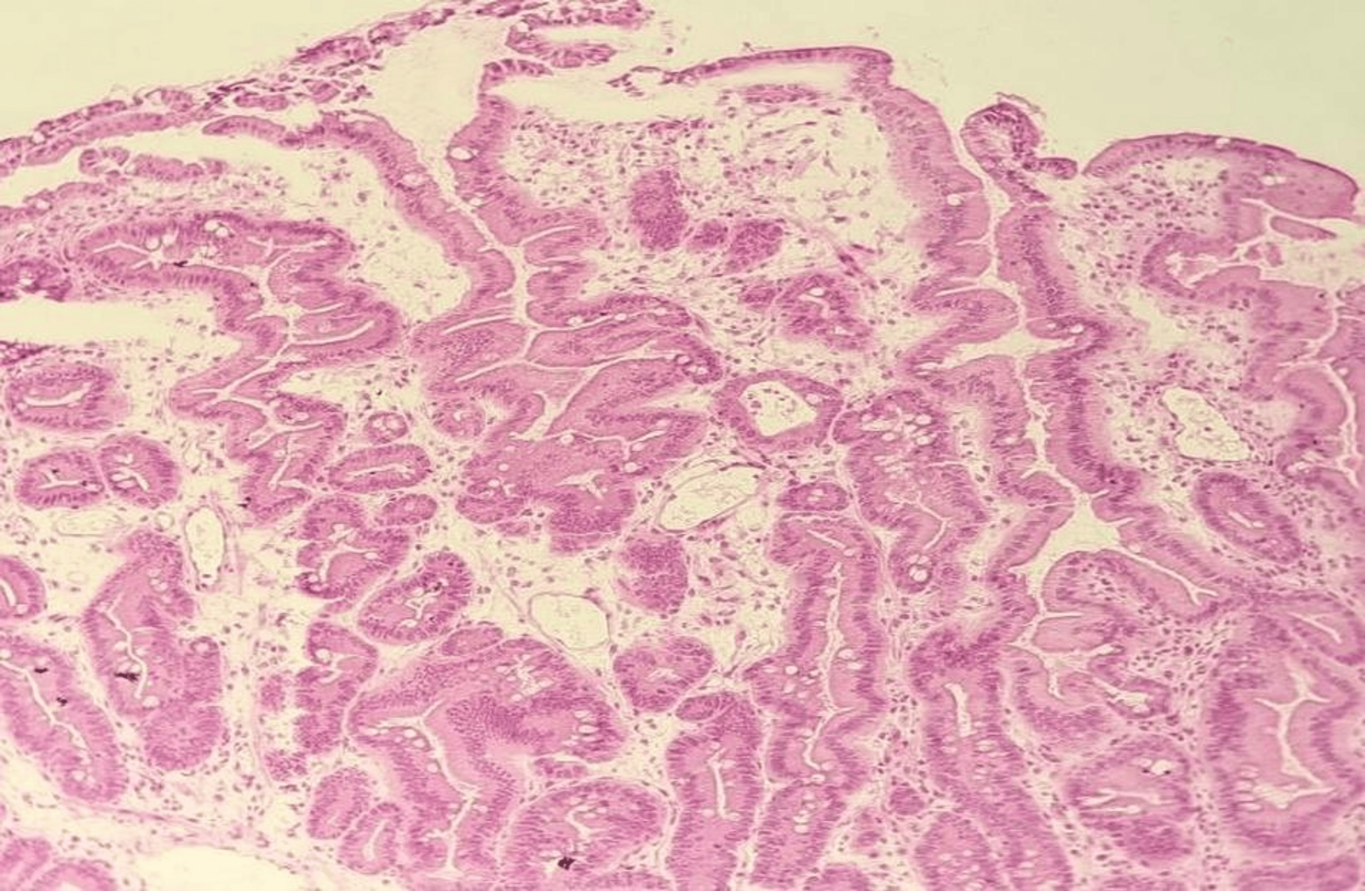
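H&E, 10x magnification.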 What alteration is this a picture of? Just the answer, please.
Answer: Serrated architecture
